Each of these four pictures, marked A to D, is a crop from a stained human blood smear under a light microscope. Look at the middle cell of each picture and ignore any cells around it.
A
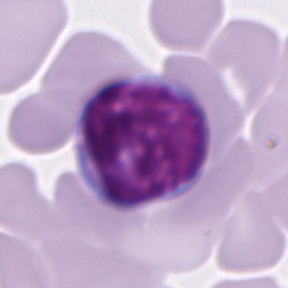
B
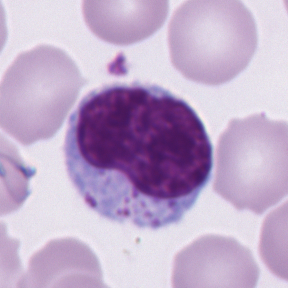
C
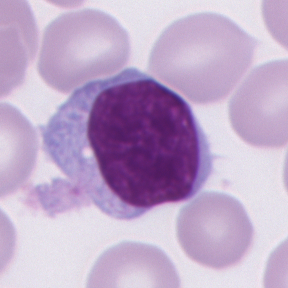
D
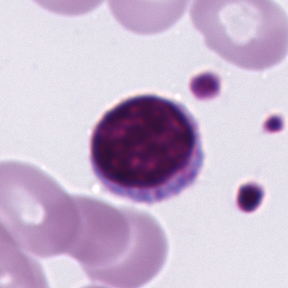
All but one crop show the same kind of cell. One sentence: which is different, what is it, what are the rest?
The crops all show typical lymphocytes, with the exception of crop B, which shows a large granular lymphocyte.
